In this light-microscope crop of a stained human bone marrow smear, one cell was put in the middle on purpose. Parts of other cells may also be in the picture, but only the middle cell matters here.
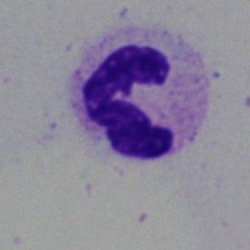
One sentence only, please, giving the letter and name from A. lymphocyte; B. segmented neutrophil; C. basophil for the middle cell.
The expected answer is option B, the central cell being a segmented neutrophil.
